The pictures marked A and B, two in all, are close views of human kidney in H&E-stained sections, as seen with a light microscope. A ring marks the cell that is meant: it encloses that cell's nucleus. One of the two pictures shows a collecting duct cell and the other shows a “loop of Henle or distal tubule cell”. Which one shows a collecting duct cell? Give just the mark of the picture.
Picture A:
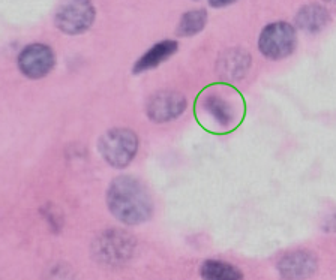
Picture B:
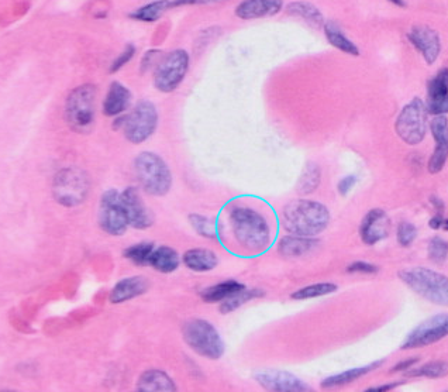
B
